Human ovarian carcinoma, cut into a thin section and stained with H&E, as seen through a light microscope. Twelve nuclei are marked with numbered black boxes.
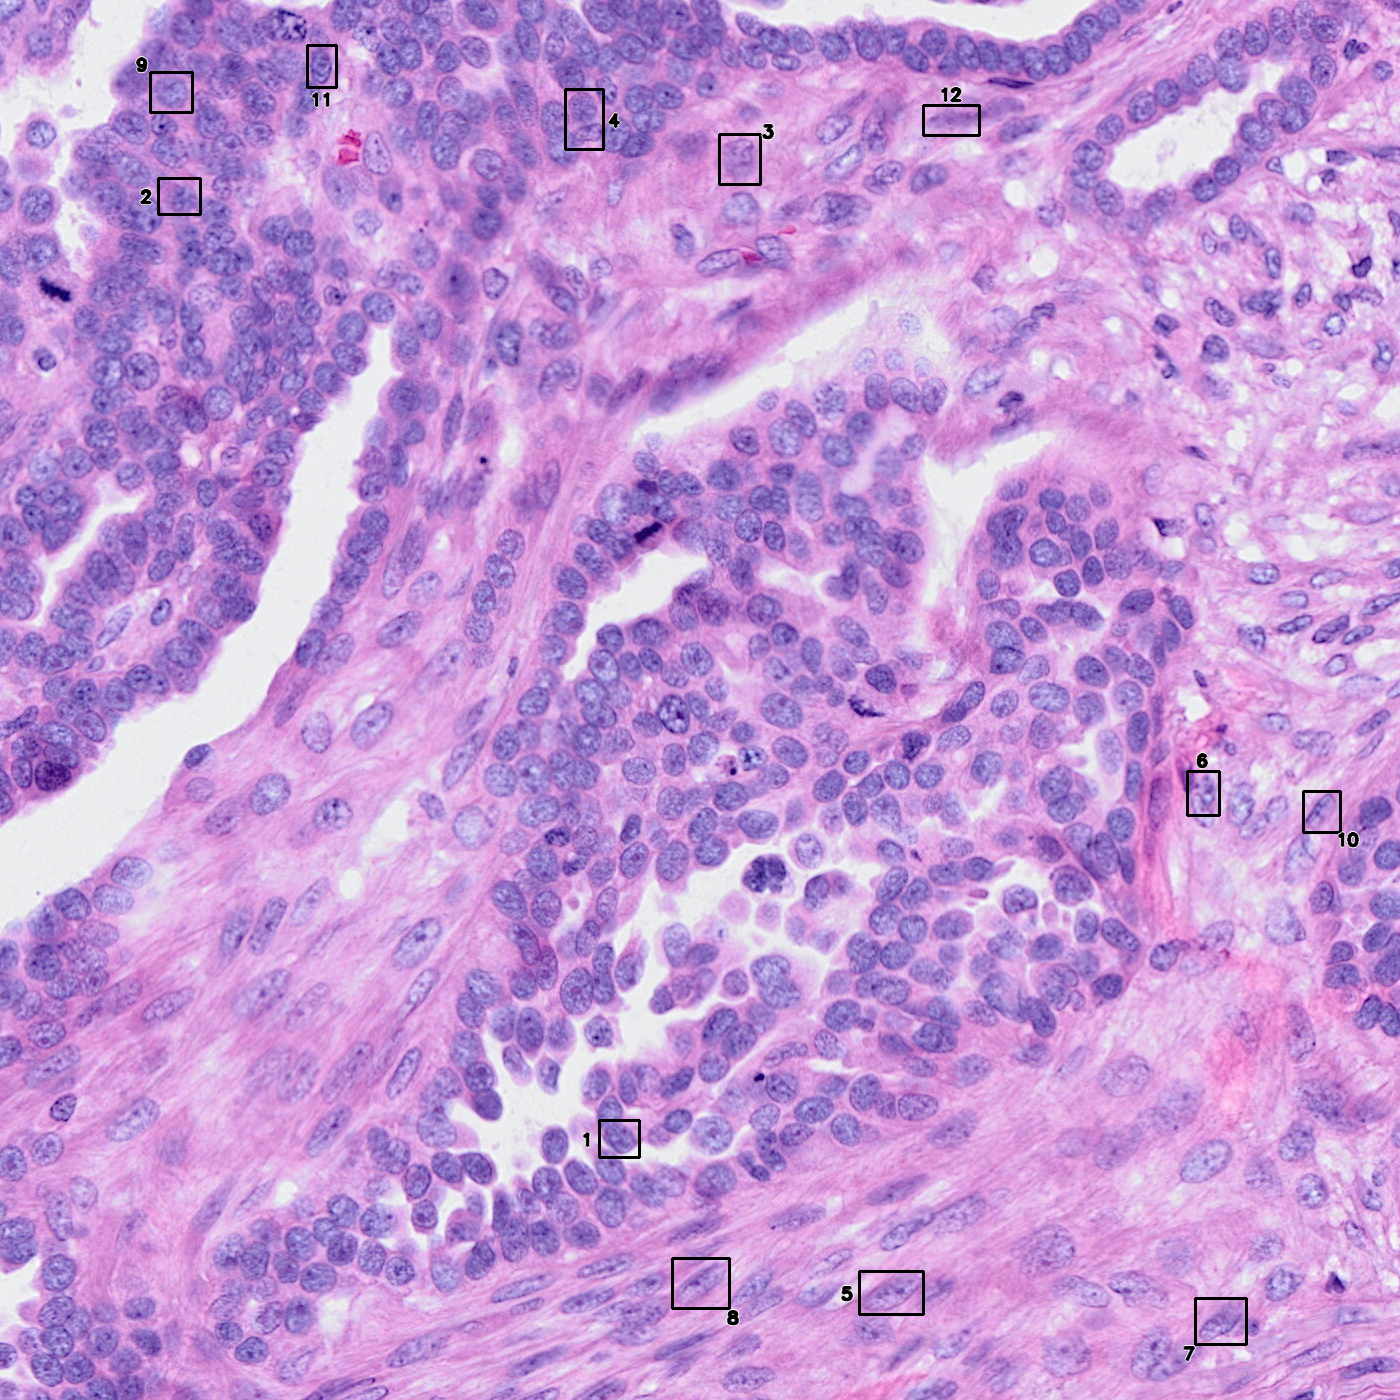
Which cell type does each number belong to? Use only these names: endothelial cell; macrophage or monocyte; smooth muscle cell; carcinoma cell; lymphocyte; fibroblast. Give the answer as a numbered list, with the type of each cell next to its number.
1. carcinoma cell
2. carcinoma cell
3. fibroblast
4. carcinoma cell
5. fibroblast
6. fibroblast
7. fibroblast
8. fibroblast
9. carcinoma cell
10. fibroblast
11. carcinoma cell
12. fibroblast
